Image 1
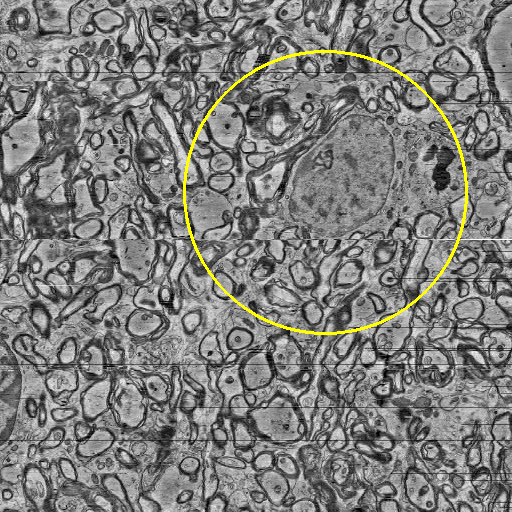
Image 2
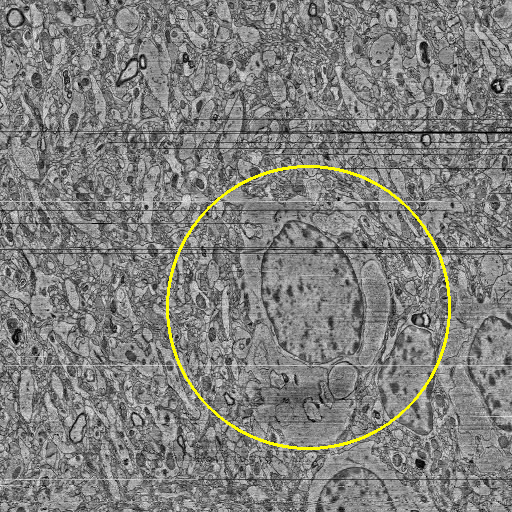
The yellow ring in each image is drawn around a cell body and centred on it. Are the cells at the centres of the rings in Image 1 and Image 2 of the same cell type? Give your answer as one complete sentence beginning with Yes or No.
No, the two cells are of two separate types.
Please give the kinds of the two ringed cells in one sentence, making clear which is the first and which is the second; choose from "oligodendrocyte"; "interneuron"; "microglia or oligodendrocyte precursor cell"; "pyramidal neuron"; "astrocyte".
In the second picture the ringed cell is an astrocyte; in the first it is an oligodendrocyte.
